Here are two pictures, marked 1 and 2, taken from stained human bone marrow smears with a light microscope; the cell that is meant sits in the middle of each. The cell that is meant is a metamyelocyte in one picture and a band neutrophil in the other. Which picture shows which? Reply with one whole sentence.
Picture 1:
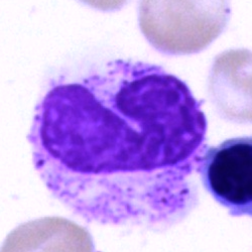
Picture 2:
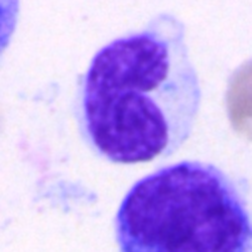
Picture 2 shows a metamyelocyte, while picture 1 shows a band neutrophil.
